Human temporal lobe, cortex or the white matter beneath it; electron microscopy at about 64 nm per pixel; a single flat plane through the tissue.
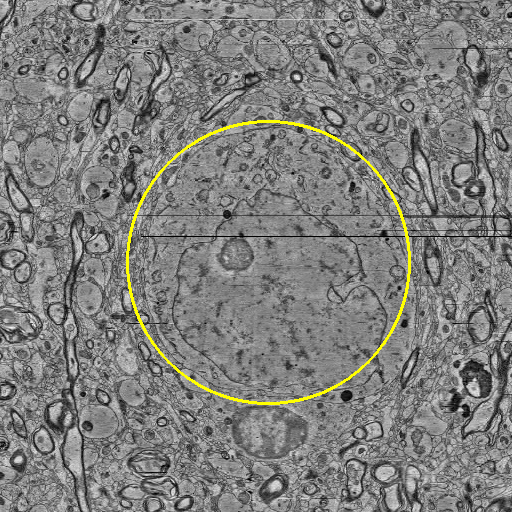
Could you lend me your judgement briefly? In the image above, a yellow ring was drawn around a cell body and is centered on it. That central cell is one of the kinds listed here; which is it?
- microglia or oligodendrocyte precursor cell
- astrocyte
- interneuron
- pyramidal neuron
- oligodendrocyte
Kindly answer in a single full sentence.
Going by the list, a pyramidal neuron is the kind at the ring's center in the picture.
